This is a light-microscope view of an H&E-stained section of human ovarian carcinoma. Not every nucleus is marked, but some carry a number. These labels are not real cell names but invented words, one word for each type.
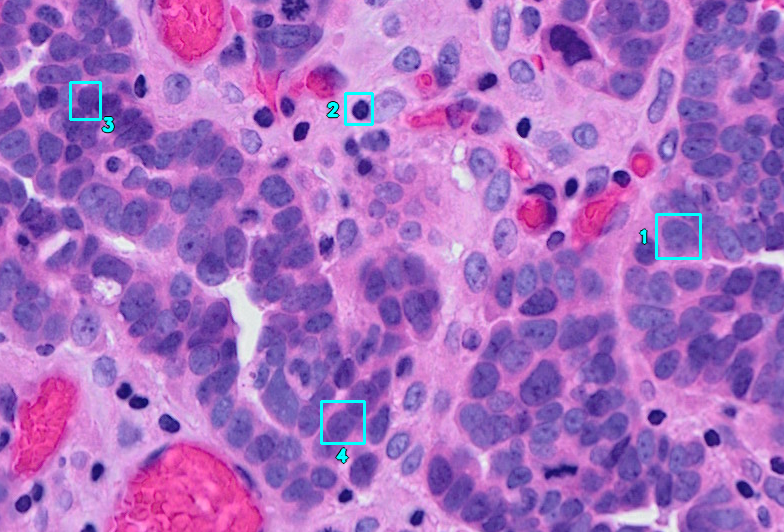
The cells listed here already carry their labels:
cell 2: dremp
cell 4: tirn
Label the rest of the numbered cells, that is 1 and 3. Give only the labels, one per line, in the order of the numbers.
tirn
tirn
